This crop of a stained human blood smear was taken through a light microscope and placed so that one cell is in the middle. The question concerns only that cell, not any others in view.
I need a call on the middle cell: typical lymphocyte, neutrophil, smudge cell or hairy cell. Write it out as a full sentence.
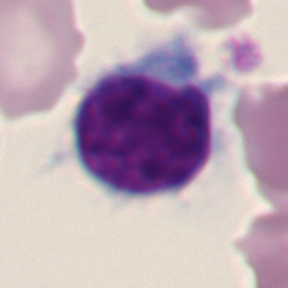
Regarding the central cell, it is a hairy cell.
